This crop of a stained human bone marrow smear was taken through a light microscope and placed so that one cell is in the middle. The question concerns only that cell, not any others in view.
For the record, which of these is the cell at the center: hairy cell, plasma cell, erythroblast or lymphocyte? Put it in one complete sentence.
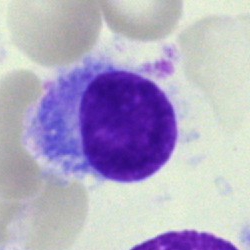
In the center of this field lies a hairy cell.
